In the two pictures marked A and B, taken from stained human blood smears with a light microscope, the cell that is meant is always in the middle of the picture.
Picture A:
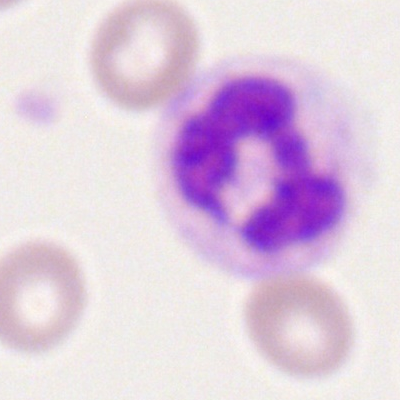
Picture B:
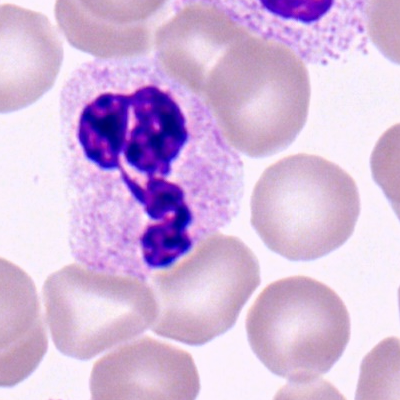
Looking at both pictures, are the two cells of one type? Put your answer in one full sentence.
Yes, both cells are segmented neutrophils.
